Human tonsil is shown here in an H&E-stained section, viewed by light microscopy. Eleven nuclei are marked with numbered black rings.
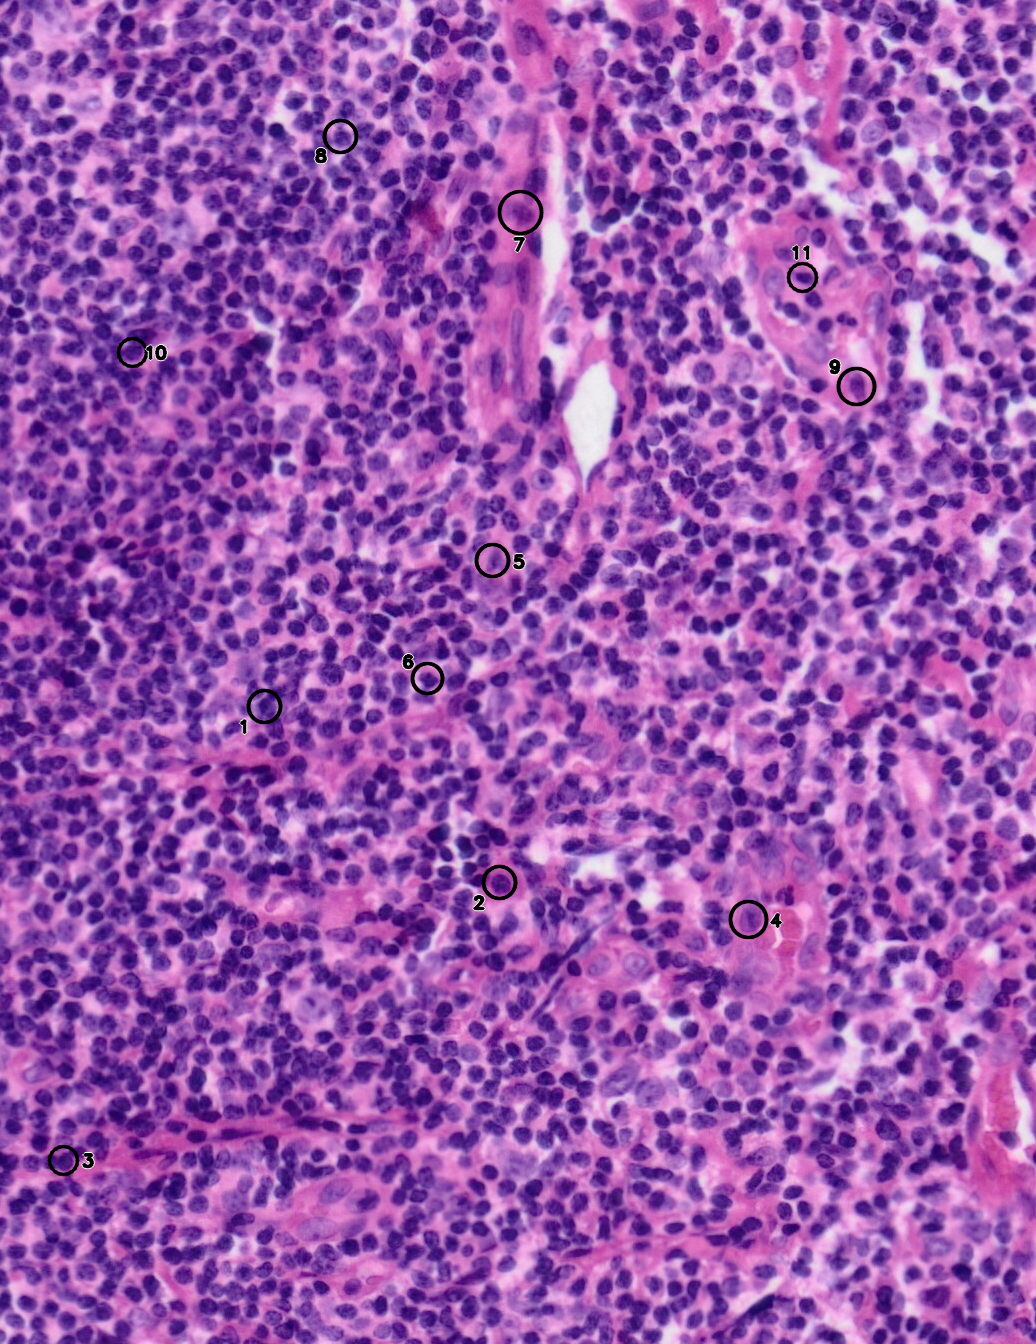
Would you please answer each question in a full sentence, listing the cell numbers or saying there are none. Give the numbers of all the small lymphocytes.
The cells numbered 1, 3, 6, 8 and 10 are of the kind known as small lymphocytes.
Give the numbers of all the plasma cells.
Cell 2 stands alone among the numbered cells as a plasma cell.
